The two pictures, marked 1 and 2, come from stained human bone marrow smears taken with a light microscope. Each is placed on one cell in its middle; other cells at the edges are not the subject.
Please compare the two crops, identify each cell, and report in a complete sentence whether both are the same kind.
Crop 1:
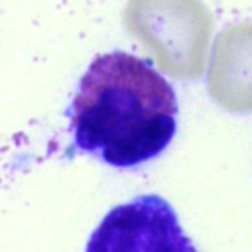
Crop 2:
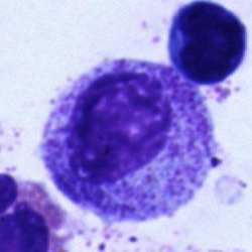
No, crop 1 shows an eosinophil, and the cell in crop 2 is a promyelocyte.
